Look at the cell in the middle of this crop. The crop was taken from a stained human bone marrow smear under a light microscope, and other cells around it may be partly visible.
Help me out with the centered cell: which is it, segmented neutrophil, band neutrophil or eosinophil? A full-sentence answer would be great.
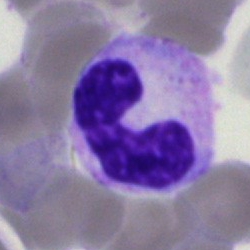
The central cell, amid any neighbouring cells, is a band neutrophil.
